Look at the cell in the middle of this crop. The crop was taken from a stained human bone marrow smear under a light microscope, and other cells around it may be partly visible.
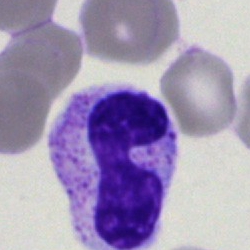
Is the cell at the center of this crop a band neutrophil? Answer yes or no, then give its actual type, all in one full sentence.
Yes, the central element of the crop is a band neutrophil.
